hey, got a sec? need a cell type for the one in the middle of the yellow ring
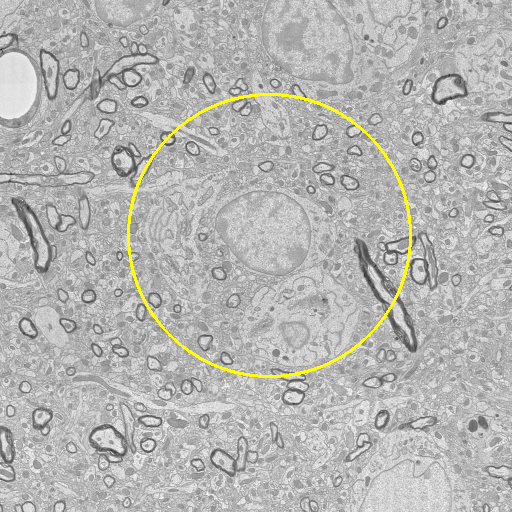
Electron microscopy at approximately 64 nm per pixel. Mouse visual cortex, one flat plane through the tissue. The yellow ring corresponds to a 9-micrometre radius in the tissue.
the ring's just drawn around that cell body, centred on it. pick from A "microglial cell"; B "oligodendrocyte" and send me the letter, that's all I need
B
